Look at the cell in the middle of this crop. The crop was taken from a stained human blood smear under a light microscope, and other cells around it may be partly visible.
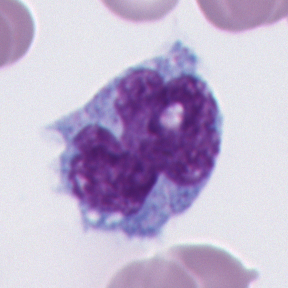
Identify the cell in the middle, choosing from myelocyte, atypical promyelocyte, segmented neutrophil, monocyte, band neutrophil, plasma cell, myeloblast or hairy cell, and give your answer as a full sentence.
The cell the crop is centered on is a monocyte.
